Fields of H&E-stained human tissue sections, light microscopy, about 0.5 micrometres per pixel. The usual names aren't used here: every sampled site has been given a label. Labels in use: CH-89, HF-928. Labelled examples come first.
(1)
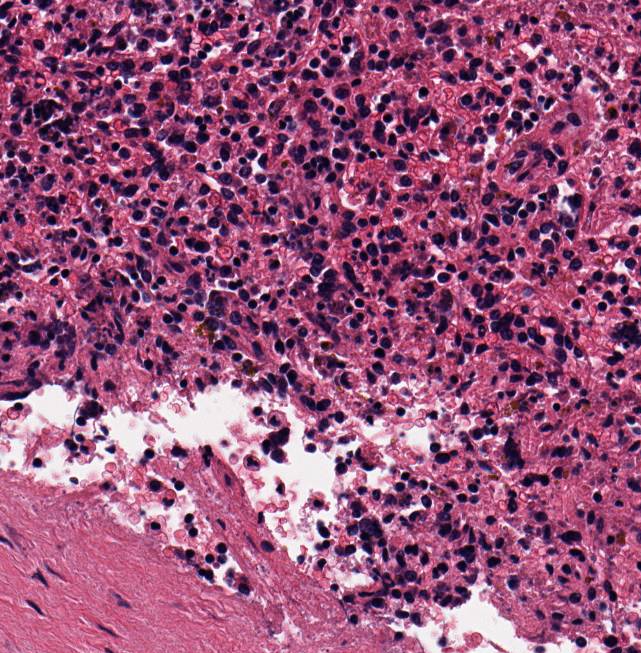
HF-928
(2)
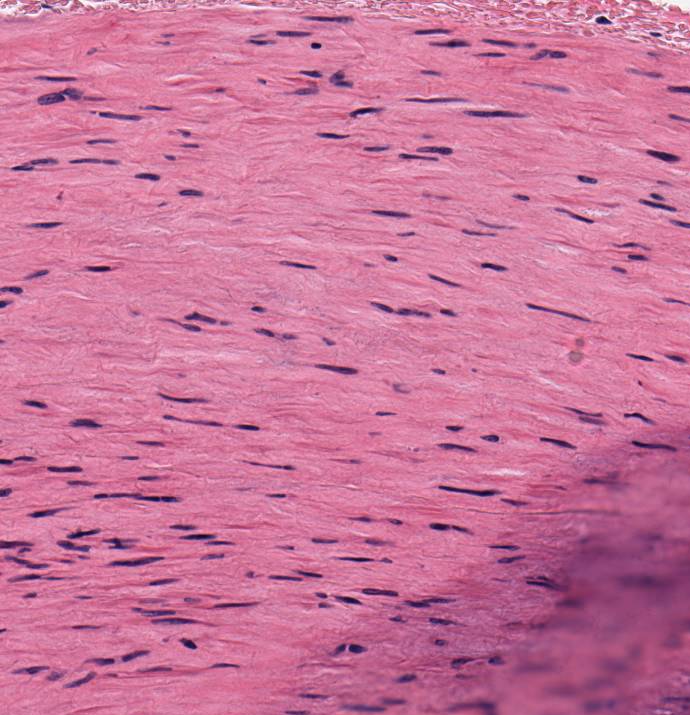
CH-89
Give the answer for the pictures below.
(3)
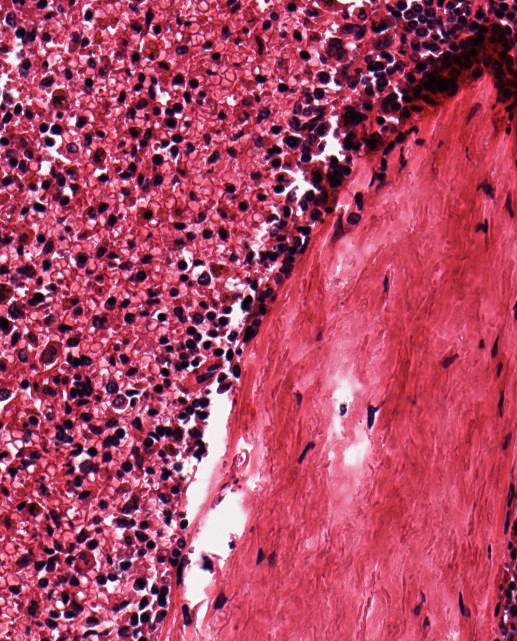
HF-928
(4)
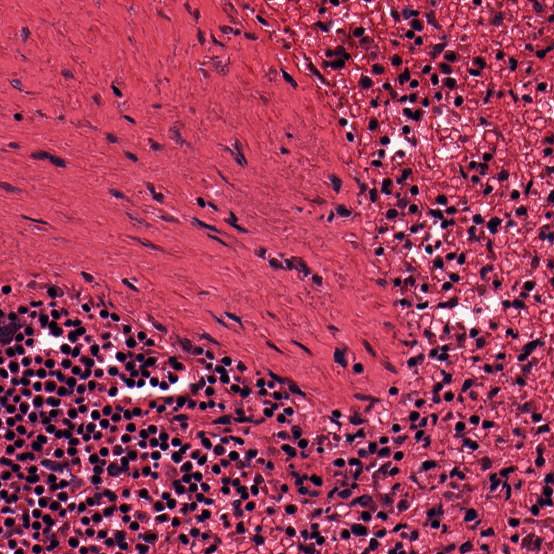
HF-928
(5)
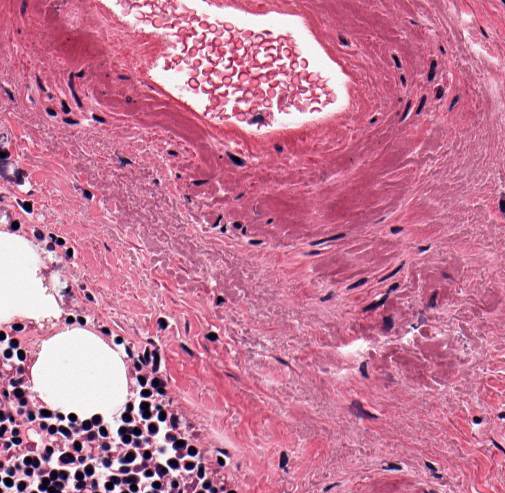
HF-928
